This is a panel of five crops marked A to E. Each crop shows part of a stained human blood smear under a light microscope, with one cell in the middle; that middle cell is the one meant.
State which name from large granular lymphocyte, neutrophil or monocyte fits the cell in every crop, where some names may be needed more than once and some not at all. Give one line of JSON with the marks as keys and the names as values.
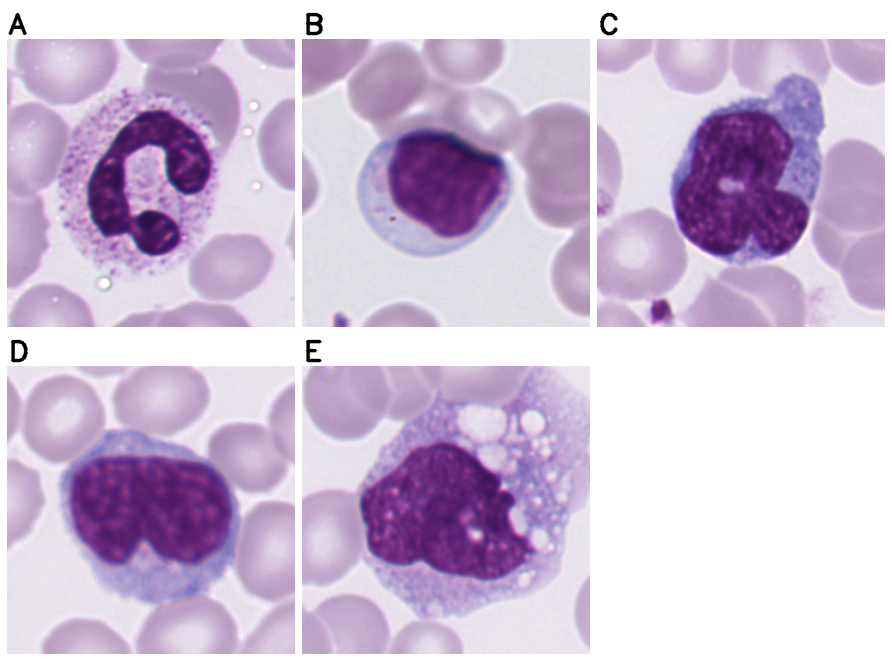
{"A": "neutrophil", "B": "large granular lymphocyte", "C": "monocyte", "D": "monocyte", "E": "monocyte"}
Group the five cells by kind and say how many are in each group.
monocyte: 3
neutrophil: 1
large granular lymphocyte: 1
